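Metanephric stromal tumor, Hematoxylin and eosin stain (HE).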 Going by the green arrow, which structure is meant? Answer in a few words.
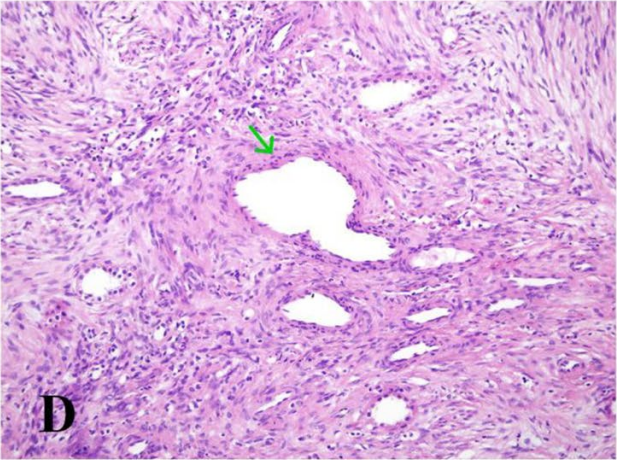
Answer: Dysplastic small vessels.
